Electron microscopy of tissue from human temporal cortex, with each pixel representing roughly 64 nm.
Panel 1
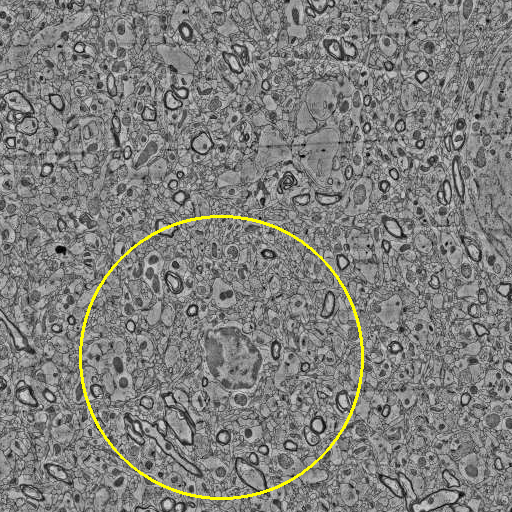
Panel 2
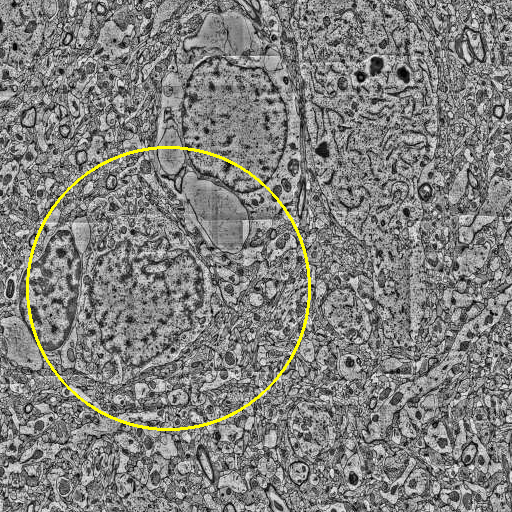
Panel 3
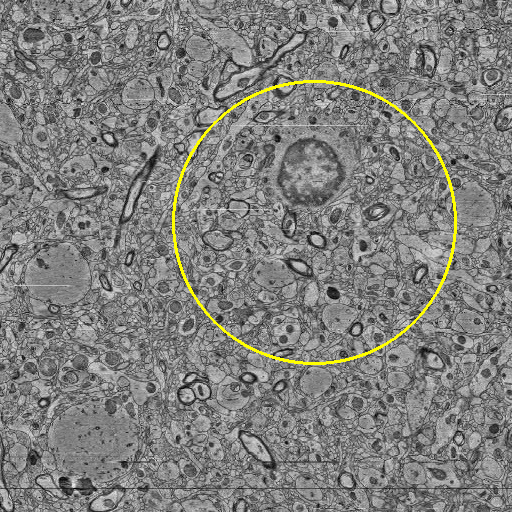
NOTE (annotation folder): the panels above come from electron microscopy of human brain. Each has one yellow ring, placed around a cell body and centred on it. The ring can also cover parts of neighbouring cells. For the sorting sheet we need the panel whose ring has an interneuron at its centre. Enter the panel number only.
2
